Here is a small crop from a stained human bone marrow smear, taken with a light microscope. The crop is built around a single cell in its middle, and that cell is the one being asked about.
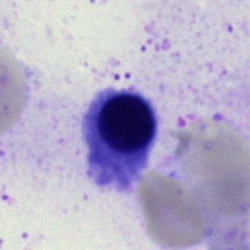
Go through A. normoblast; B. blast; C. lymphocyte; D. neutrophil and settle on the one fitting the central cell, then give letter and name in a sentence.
The correct choice is option A, which identifies the middle cell as a normoblast.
